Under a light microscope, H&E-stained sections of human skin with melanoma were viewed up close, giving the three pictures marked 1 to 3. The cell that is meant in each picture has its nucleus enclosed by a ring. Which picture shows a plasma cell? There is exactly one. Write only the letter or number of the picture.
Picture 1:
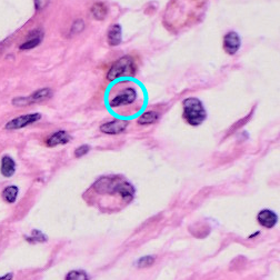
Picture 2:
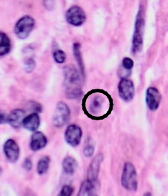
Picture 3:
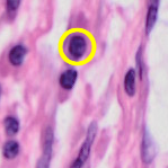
3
